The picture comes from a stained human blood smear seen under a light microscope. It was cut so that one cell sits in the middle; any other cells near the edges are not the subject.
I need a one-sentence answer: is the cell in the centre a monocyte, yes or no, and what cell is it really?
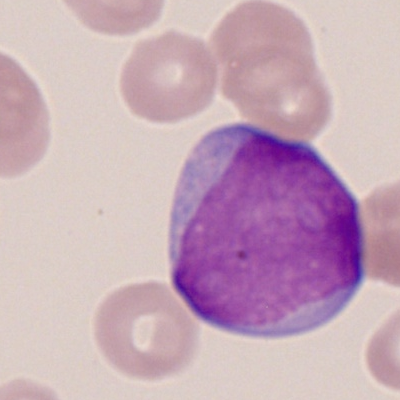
No, that guess of a monocyte misses; the central cell is a blast.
